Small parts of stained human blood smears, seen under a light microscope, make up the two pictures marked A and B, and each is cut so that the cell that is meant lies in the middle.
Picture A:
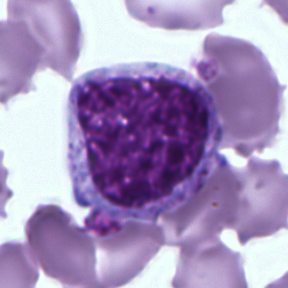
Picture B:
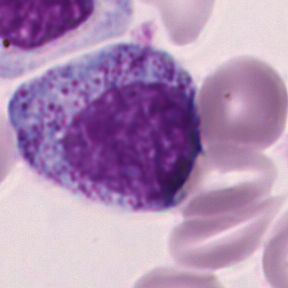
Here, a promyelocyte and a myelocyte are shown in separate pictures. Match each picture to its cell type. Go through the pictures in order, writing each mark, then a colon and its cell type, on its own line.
A: myelocyte
B: promyelocyte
